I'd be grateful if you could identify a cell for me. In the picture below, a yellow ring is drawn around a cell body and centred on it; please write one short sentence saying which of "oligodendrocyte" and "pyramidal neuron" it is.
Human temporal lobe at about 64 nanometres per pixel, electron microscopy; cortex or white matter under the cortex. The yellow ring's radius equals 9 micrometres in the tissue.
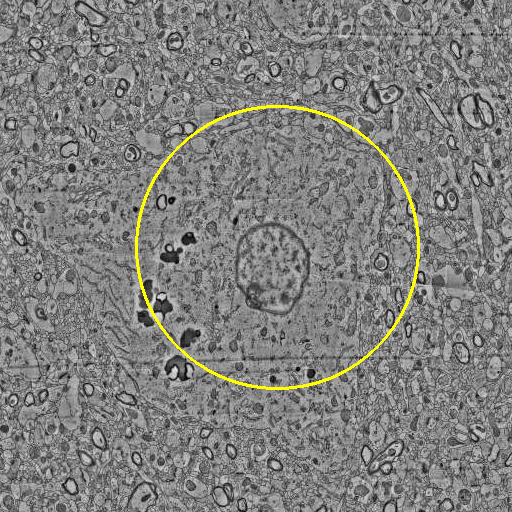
The cell under the ring's centre is a pyramidal neuron.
